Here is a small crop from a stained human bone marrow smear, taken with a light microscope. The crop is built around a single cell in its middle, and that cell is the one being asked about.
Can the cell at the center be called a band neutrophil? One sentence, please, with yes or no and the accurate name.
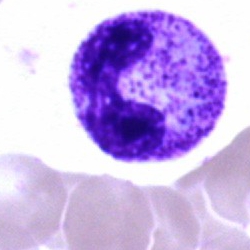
Yes, the cell found in the middle is a band neutrophil.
